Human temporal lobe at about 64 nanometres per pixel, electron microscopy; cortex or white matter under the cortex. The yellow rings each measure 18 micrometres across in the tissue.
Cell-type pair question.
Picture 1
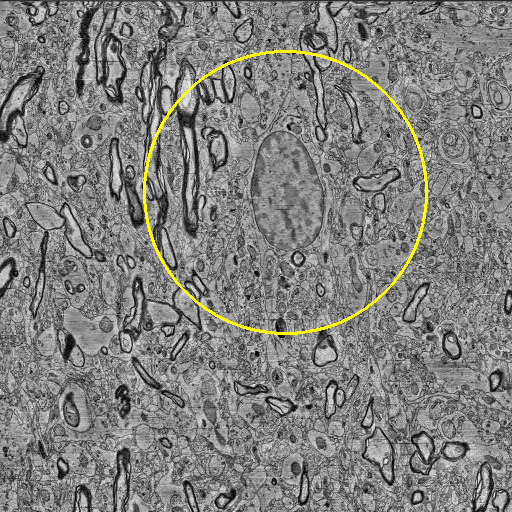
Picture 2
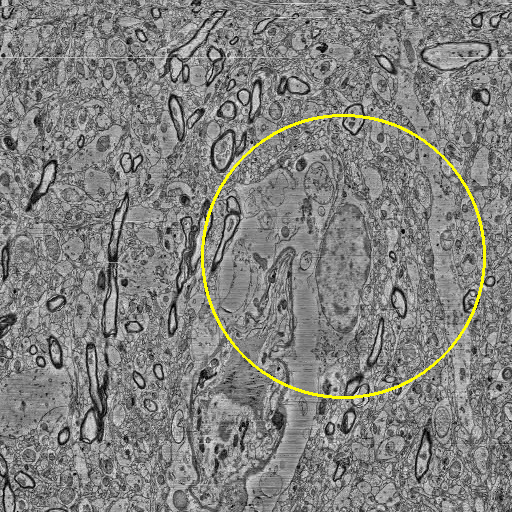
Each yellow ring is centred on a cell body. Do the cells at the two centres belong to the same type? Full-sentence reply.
Yes, the two cells belong to the same type.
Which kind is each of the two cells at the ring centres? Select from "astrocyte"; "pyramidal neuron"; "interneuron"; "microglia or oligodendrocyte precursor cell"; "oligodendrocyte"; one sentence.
In each picture the ringed cell is a microglial cell or oligodendrocyte precursor cell.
